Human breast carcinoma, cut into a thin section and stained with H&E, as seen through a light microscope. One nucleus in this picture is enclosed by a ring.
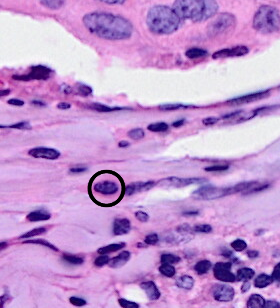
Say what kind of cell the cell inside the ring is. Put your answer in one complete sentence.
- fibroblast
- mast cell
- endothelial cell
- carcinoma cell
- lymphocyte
In this tissue section, the cell inside the ring is to be classed as a mast cell.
